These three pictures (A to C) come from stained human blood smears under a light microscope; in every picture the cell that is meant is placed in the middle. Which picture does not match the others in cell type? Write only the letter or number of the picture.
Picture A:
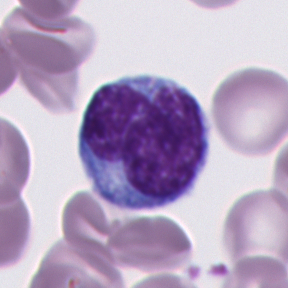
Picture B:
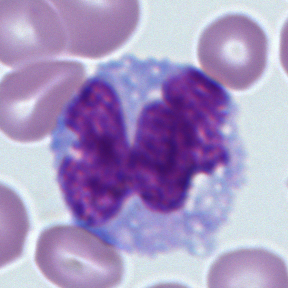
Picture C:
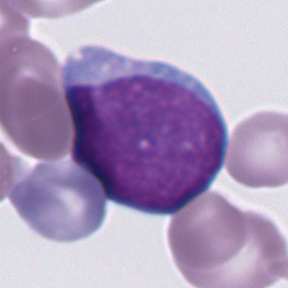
C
